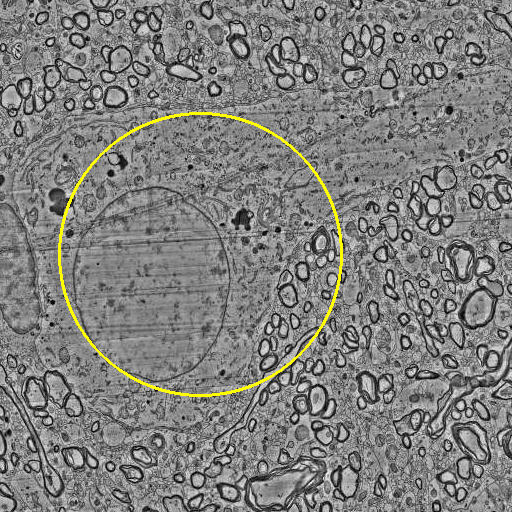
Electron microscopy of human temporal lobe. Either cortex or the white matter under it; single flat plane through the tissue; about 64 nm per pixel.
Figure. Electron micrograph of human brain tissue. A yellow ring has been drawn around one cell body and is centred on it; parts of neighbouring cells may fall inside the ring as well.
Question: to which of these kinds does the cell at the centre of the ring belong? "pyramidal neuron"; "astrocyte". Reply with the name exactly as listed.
pyramidal neuron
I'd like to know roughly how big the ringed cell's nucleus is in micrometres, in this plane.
About 12 micrometres by about 10 micrometres in this plane.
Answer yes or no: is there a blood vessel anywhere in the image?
No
